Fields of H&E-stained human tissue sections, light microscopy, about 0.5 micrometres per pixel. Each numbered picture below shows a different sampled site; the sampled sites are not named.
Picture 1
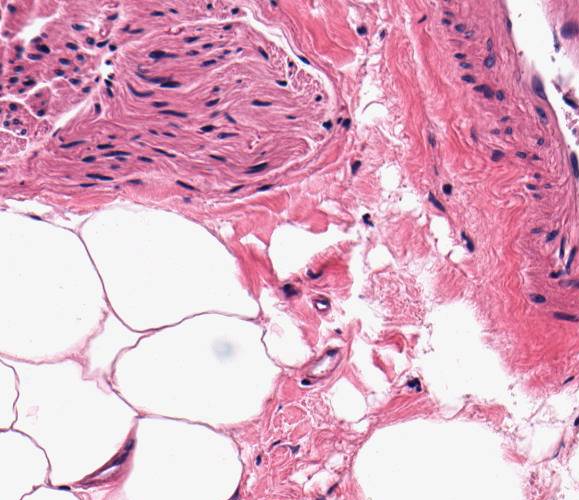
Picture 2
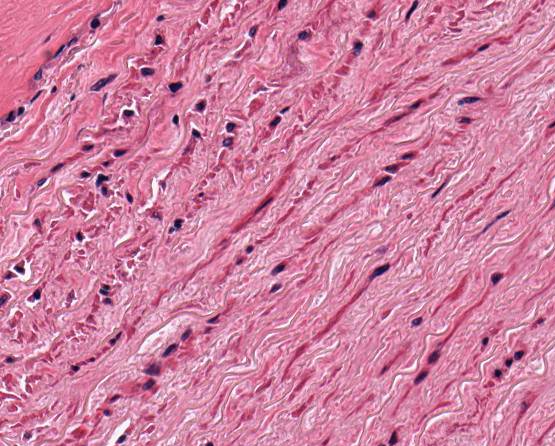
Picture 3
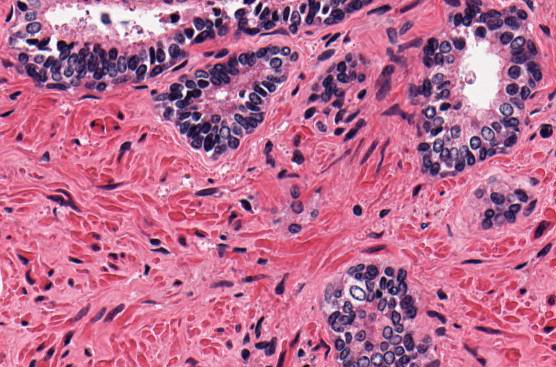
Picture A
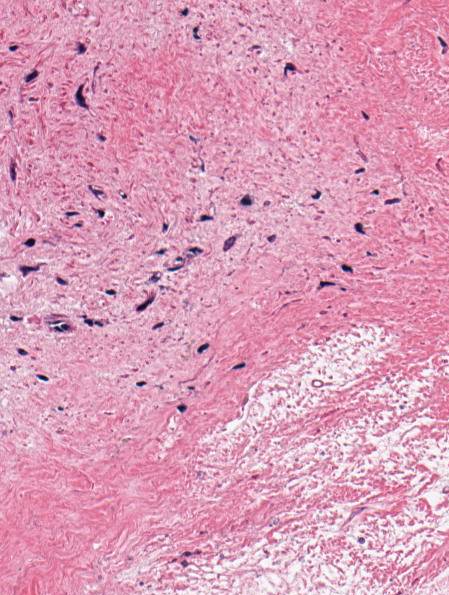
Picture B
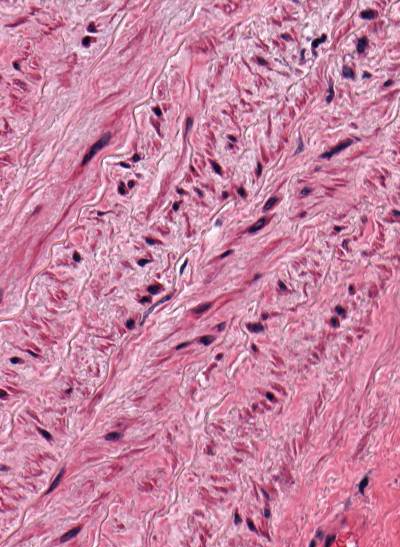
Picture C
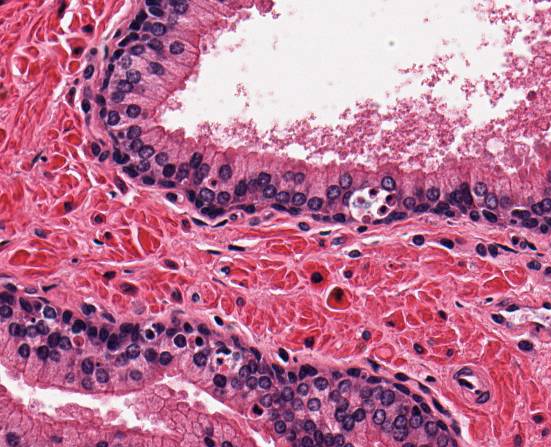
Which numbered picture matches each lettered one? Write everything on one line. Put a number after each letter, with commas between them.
A 1, B 2, C 3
